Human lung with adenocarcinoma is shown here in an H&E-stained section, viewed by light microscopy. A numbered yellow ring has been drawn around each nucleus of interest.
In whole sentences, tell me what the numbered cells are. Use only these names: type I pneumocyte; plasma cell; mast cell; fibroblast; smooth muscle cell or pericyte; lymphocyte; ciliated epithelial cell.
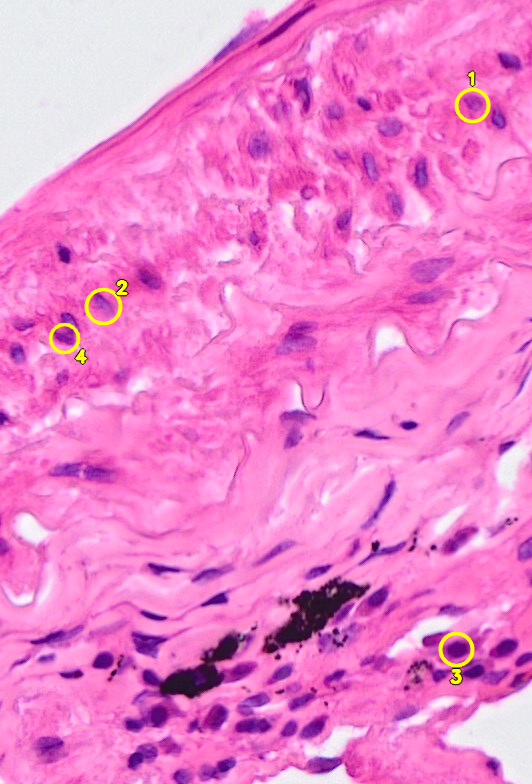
Cells 1, 2 and 4 are smooth muscle cells or pericytes. Cell 3 is a plasma cell.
